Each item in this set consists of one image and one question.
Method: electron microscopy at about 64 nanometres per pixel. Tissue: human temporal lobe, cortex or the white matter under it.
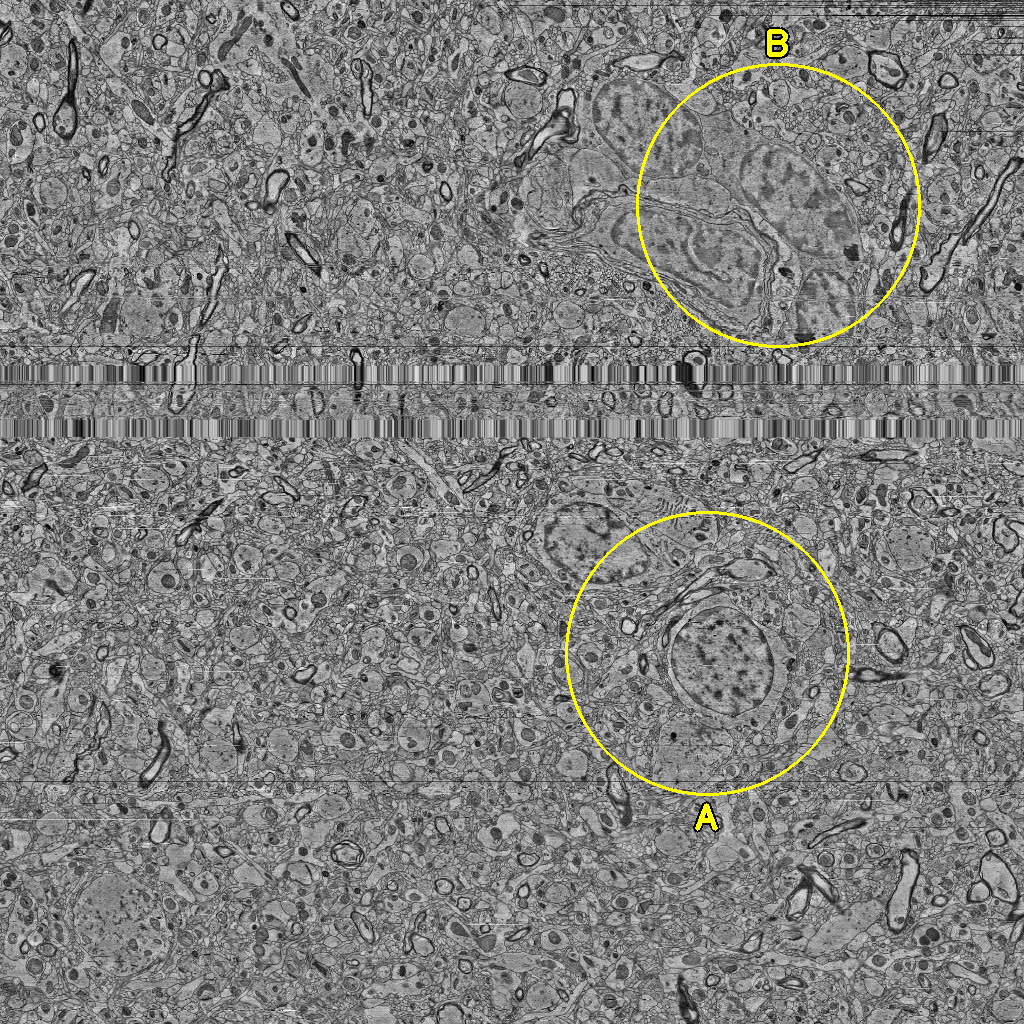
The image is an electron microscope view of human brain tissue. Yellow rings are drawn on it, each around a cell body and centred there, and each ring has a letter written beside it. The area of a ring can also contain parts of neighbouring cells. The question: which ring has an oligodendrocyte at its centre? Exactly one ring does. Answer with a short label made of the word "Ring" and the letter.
Ring B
